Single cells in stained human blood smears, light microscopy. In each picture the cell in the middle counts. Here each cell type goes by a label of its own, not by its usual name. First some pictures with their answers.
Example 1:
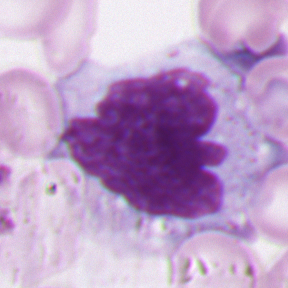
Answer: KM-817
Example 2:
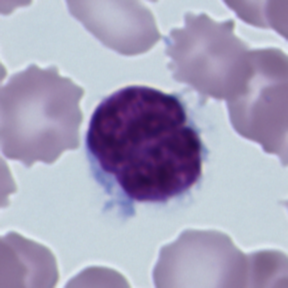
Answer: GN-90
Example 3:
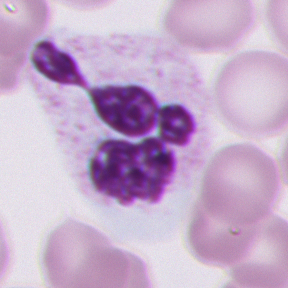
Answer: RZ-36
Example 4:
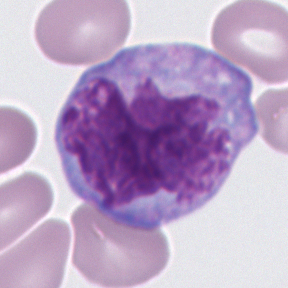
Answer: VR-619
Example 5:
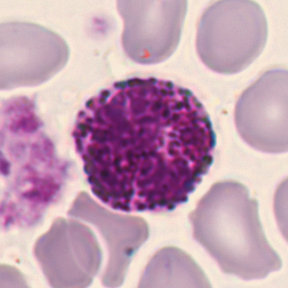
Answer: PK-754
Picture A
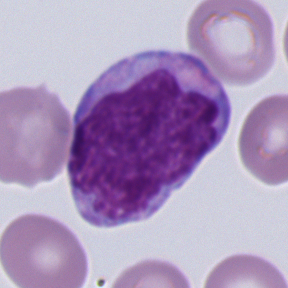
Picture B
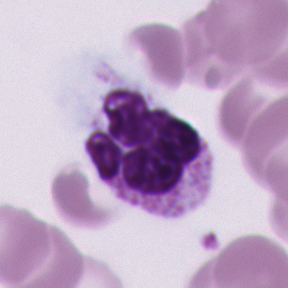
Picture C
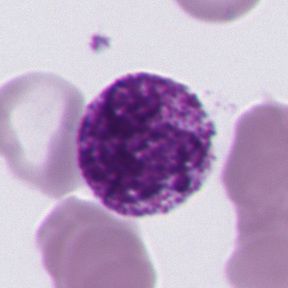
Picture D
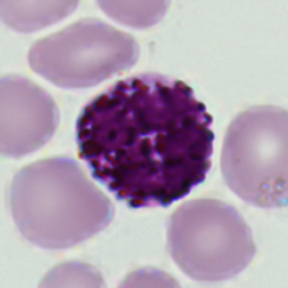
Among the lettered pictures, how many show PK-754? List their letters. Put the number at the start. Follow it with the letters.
2: C, D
